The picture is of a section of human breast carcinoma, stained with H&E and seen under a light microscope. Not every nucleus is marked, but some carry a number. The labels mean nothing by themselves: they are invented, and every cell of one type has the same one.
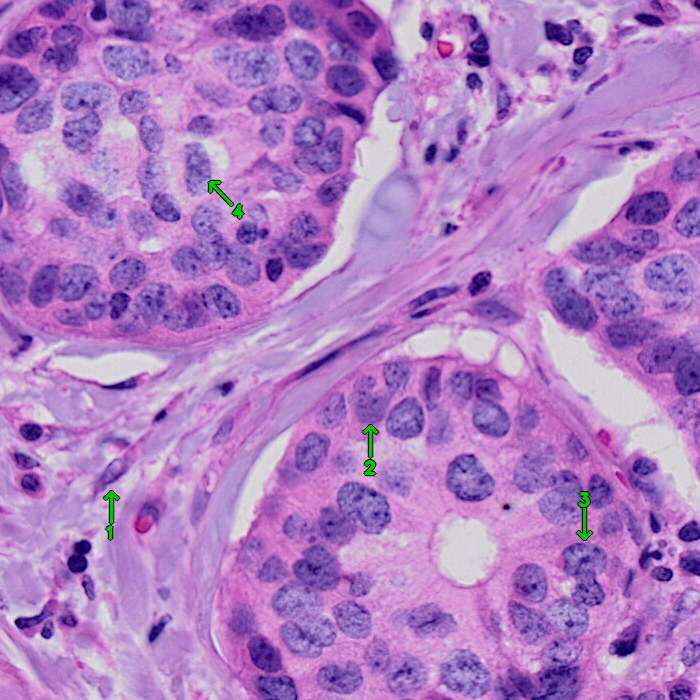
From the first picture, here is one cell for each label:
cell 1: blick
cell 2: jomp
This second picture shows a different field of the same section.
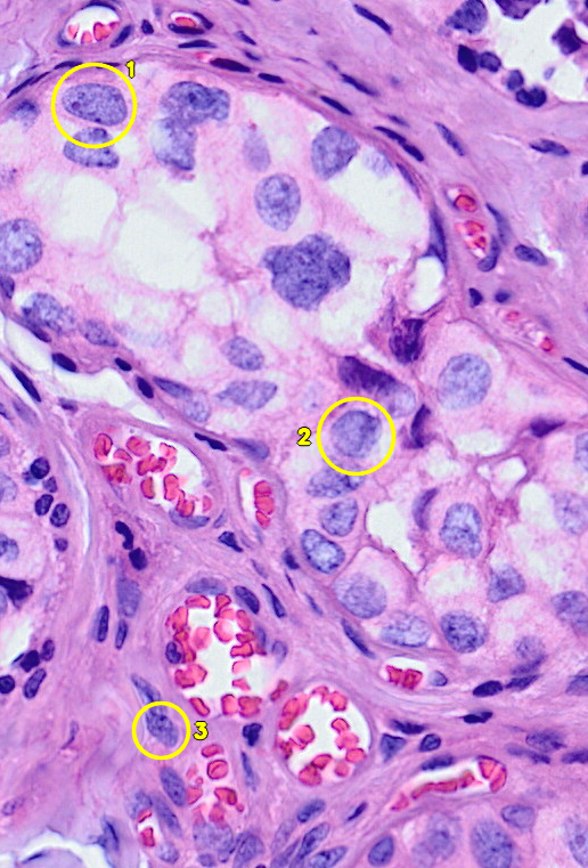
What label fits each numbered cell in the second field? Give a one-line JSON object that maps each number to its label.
{"1": "jomp", "2": "jomp", "3": "blick"}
